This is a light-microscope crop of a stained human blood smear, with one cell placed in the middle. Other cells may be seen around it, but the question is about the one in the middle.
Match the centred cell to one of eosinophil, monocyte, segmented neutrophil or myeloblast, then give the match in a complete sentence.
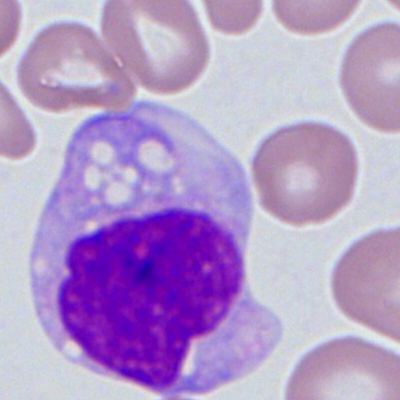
Regarding the central cell, it is a monocyte.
